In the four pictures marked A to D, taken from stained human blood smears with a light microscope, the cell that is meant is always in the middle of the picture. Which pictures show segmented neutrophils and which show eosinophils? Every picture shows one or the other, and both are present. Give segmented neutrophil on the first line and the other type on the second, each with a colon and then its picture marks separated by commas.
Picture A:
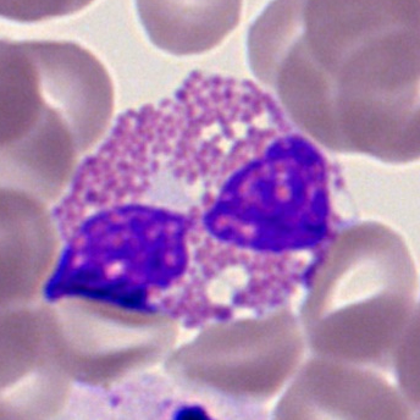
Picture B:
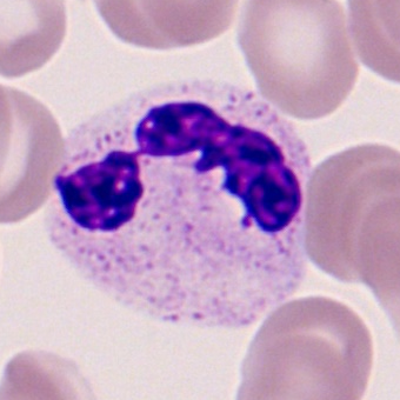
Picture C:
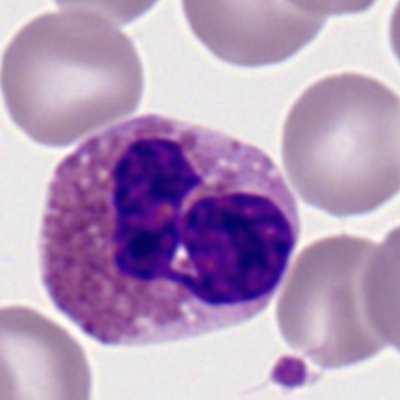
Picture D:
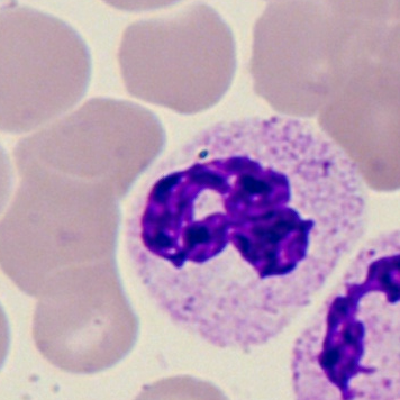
segmented neutrophil: B, D
eosinophil: A, C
